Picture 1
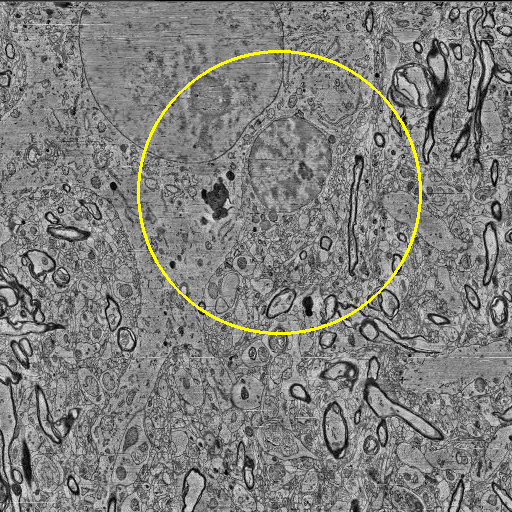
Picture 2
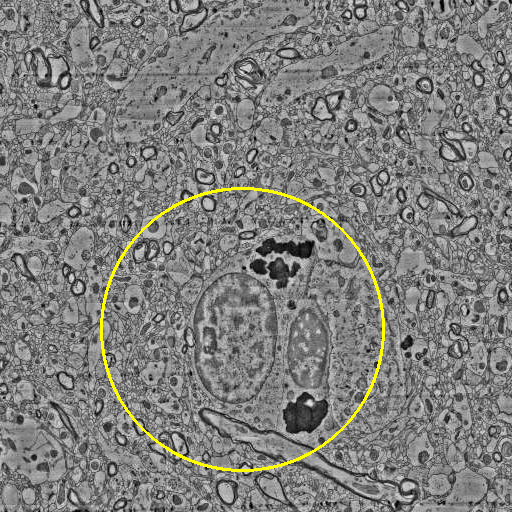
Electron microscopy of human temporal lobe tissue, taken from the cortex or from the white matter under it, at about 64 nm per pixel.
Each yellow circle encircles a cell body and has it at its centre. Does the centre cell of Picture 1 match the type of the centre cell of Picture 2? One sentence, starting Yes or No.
Yes, the cell centred in Picture 1 and the one in Picture 2 share a type.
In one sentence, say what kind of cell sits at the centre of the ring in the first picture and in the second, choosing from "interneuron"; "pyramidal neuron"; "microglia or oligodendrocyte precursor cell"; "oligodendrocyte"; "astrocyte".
Each of the two rings surrounds an oligodendrocyte.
